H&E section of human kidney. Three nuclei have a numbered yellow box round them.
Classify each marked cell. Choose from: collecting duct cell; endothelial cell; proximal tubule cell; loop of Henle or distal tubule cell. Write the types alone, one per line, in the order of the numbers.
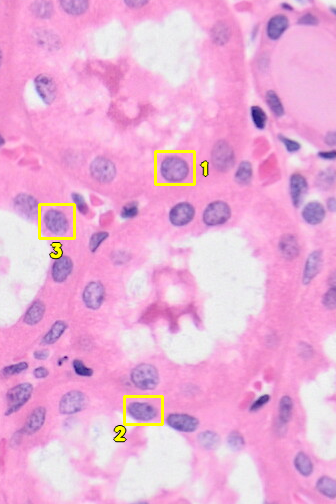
proximal tubule cell
loop of Henle or distal tubule cell
loop of Henle or distal tubule cell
